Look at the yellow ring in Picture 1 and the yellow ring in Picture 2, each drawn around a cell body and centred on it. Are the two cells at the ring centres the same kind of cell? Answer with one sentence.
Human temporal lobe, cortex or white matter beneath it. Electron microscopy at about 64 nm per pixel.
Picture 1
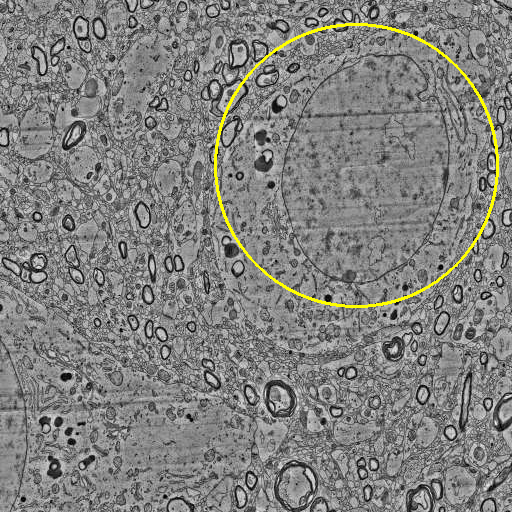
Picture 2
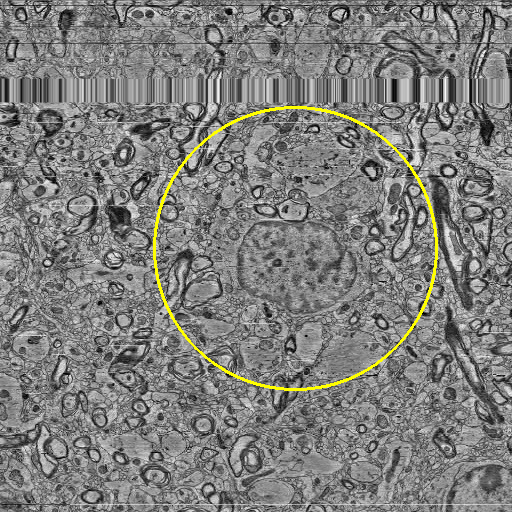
No, they are cells of two kinds.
